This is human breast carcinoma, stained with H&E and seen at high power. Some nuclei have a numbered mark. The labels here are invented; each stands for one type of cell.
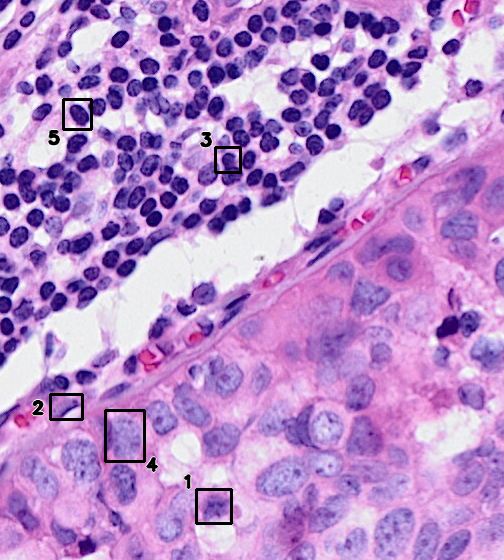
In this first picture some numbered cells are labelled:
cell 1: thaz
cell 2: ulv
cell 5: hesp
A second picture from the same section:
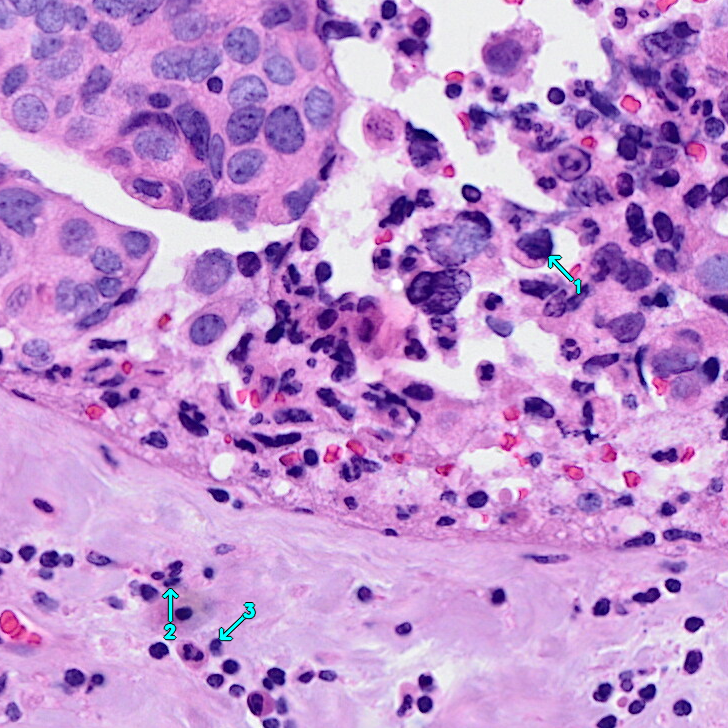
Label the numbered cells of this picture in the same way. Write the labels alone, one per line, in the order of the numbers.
thaz
hesp
hesp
